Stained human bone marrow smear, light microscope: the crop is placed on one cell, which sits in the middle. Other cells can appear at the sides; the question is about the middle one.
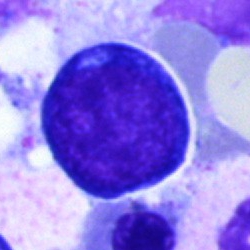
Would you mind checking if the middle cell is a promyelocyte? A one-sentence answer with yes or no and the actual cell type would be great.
No, in the middle of the crop there is a proerythroblast rather than a promyelocyte.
